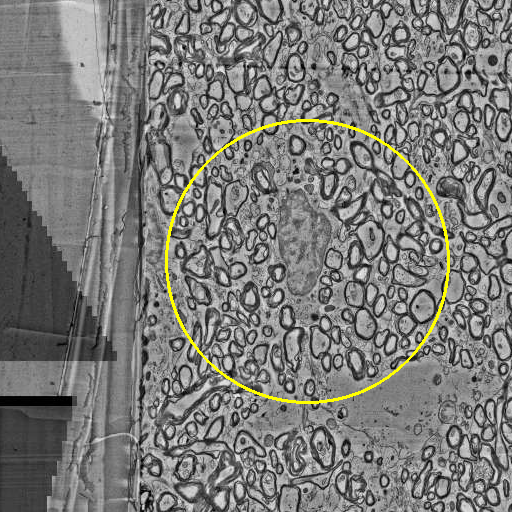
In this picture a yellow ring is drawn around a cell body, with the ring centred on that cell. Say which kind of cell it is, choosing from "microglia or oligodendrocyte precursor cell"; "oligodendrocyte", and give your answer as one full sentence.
Here it is an oligodendrocyte that sits at the centre of the drawn yellow ring.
